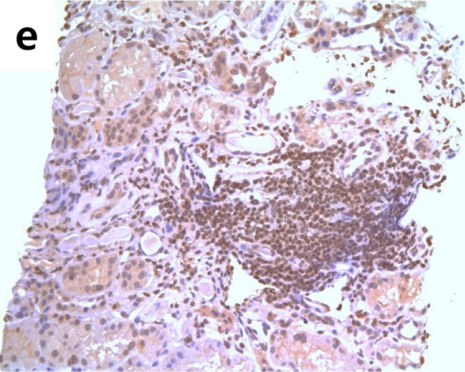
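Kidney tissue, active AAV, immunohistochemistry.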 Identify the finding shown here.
Tubulointerstitial infiltrate.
